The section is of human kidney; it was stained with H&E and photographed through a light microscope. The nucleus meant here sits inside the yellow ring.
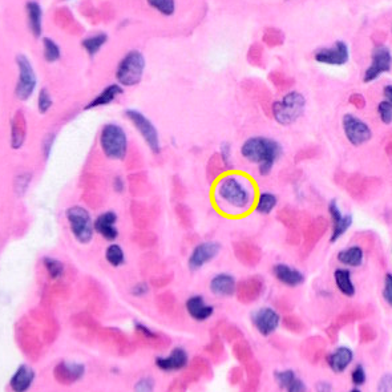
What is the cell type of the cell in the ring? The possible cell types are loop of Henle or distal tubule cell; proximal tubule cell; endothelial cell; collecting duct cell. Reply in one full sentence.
The cell meant here is an endothelial cell.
